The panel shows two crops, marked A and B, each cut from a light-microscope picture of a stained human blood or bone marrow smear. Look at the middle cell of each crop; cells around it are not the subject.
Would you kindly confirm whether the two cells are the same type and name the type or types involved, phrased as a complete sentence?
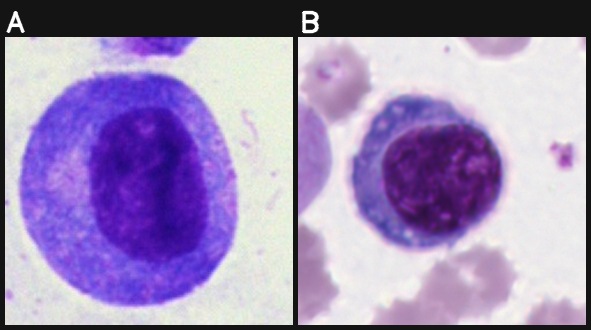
No, a plasma cell is depicted in crop B, whereas a promyelocyte is depicted in crop A.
